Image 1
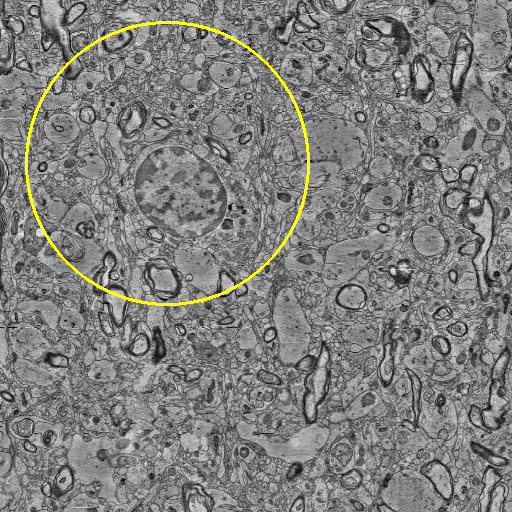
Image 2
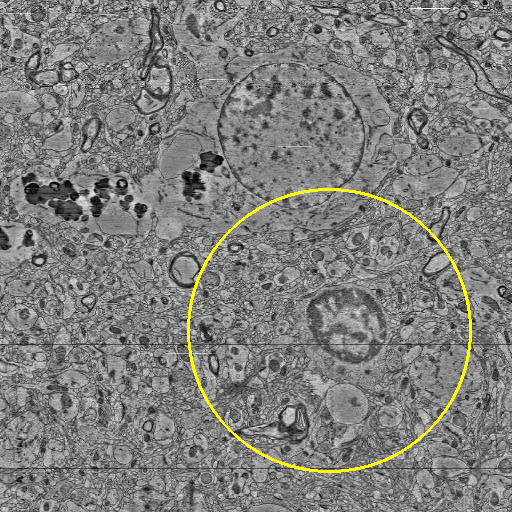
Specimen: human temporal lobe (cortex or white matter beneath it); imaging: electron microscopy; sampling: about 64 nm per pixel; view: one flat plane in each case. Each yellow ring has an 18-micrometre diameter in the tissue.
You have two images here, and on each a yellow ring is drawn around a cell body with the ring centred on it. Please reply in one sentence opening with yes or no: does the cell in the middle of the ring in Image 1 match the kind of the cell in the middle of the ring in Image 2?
No, the two images show cells of two kinds at the centres of their rings.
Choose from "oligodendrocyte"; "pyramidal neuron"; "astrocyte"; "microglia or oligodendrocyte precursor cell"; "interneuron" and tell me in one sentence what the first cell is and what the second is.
What the first ring is centred on is a microglial cell or oligodendrocyte precursor cell; what the second ring is centred on is an oligodendrocyte.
